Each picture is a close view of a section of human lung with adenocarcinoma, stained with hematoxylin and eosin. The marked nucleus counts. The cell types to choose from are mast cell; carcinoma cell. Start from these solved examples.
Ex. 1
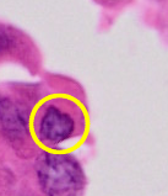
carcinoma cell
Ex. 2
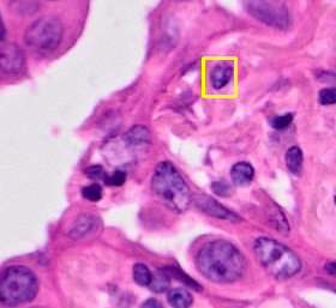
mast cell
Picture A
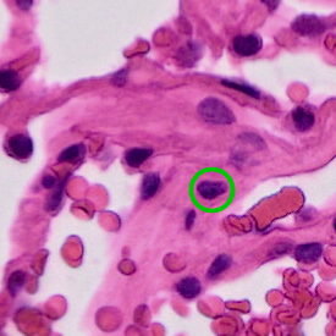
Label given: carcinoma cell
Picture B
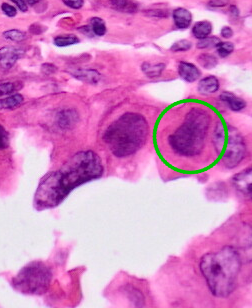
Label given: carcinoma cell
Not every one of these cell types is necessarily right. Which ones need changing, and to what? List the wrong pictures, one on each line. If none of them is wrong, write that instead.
A: mast cell, not carcinoma cell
